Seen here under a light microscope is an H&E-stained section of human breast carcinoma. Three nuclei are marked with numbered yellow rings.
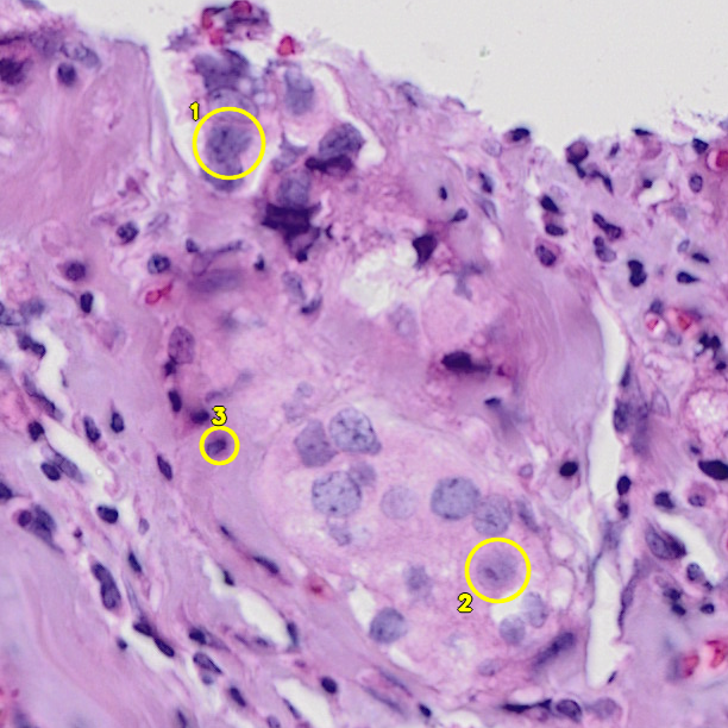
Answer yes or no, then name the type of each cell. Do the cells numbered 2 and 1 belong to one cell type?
Yes, cell number 2 and cell number 1 are both carcinoma cells.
